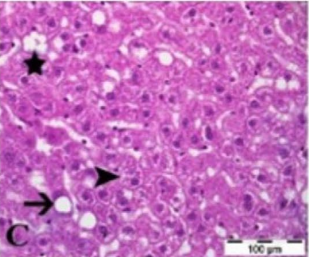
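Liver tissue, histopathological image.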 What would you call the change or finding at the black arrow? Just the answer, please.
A: fat degeneration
